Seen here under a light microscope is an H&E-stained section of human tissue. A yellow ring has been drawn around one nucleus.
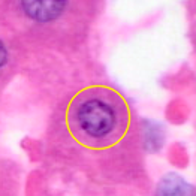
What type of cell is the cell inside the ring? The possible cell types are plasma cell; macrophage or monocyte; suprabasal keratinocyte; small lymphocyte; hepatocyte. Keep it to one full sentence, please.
On this particular slide, the cell inside the ring is a hepatocyte.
